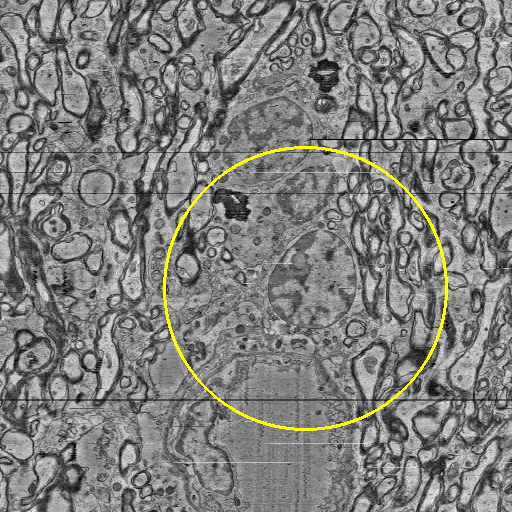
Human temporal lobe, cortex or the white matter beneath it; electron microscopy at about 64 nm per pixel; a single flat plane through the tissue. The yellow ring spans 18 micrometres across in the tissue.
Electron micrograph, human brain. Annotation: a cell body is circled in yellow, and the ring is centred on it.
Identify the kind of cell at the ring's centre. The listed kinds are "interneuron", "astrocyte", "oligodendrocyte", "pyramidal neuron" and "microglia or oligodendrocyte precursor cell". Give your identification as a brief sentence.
The circled cell body is that of a microglial cell or oligodendrocyte precursor cell.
